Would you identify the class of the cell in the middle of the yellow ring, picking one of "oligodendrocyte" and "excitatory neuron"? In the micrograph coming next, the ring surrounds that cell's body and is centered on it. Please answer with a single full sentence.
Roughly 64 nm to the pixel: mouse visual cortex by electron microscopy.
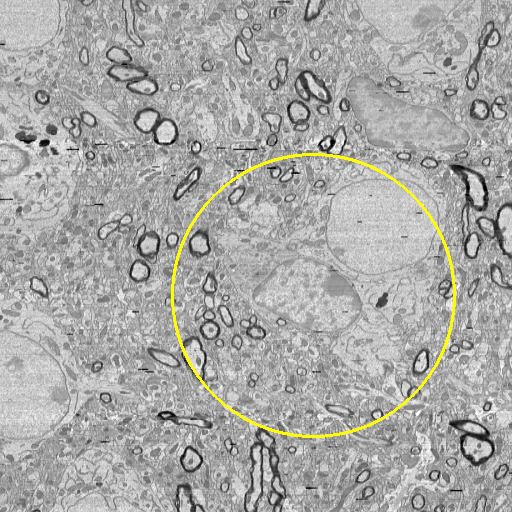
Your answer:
In the micrograph, it is an oligodendrocyte whose body lies at the ring's center.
